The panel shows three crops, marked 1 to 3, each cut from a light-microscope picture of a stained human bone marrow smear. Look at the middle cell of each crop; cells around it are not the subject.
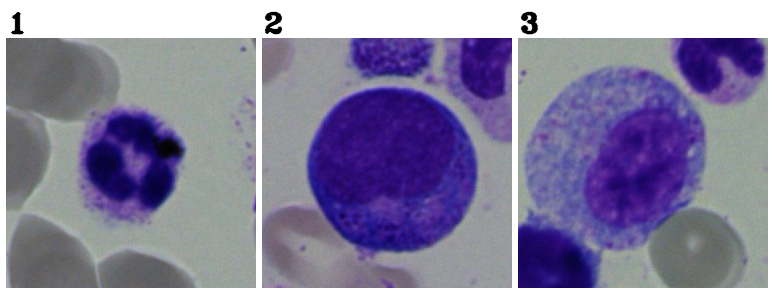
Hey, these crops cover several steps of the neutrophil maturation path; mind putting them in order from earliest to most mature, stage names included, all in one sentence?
The ordering by maturity, least to greatest, is crop 2 (a promyelocyte), crop 3 (a myelocyte) and crop 1 (a segmented neutrophil).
